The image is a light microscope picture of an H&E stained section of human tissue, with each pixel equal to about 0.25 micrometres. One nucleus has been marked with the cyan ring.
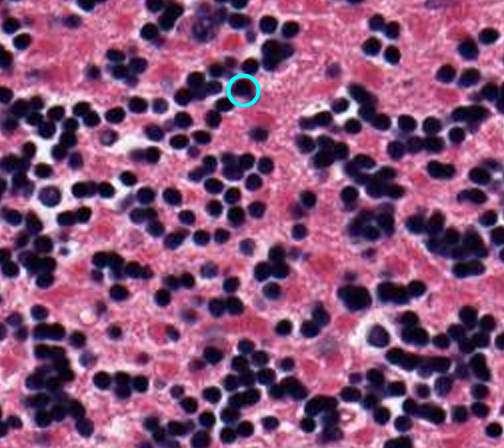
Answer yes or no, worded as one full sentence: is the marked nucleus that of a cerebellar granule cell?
Yes, the marked nucleus, as shown, belongs to a cerebellar granule cell.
